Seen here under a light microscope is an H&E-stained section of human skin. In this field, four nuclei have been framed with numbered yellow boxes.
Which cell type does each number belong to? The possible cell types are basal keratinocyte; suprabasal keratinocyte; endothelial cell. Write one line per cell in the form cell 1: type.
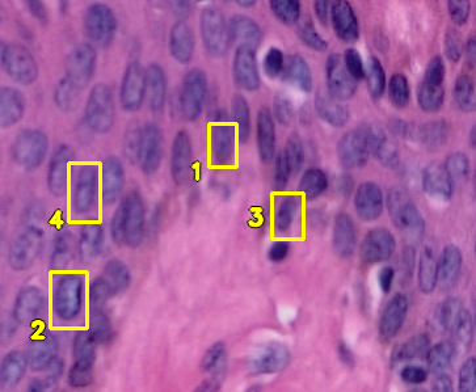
cell 1: basal keratinocyte
cell 2: basal keratinocyte
cell 3: basal keratinocyte
cell 4: suprabasal keratinocyte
